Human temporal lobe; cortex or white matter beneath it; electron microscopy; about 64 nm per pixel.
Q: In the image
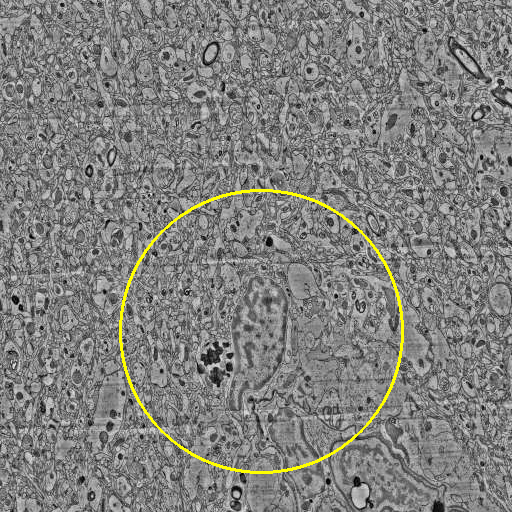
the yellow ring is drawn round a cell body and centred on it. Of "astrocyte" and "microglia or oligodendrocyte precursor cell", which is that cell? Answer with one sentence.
The cell centred in the ring is a microglial cell or oligodendrocyte precursor cell.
